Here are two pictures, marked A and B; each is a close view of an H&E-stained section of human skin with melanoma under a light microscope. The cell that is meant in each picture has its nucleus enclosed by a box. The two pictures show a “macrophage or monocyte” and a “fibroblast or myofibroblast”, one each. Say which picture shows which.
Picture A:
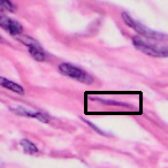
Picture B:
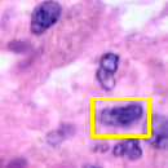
A: fibroblast or myofibroblast
B: macrophage or monocyte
